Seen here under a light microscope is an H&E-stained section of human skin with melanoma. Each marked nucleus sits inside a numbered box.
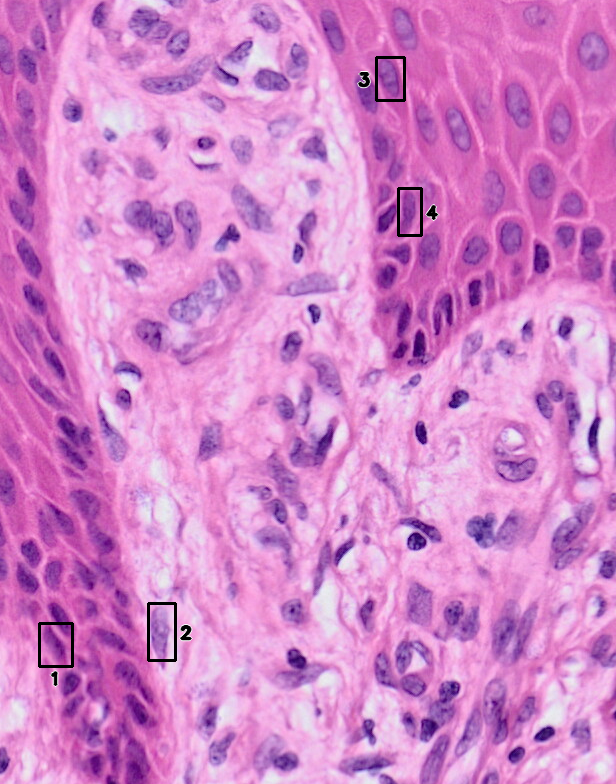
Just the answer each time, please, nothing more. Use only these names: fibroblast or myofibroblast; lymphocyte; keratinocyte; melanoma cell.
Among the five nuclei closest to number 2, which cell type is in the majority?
keratinocyte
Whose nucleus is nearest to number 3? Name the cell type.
keratinocyte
